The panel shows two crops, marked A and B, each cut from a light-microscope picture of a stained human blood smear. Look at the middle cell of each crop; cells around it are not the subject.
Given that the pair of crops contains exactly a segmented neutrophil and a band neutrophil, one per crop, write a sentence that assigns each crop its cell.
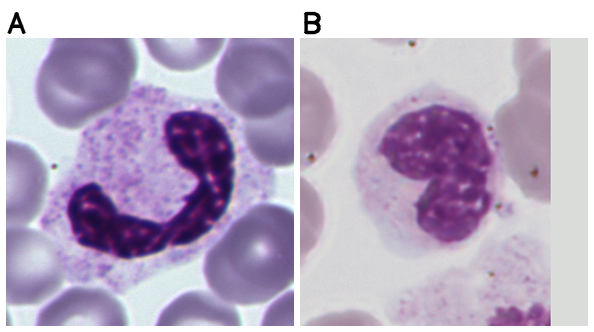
Here crop A is a segmented neutrophil, and crop B is a band neutrophil.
